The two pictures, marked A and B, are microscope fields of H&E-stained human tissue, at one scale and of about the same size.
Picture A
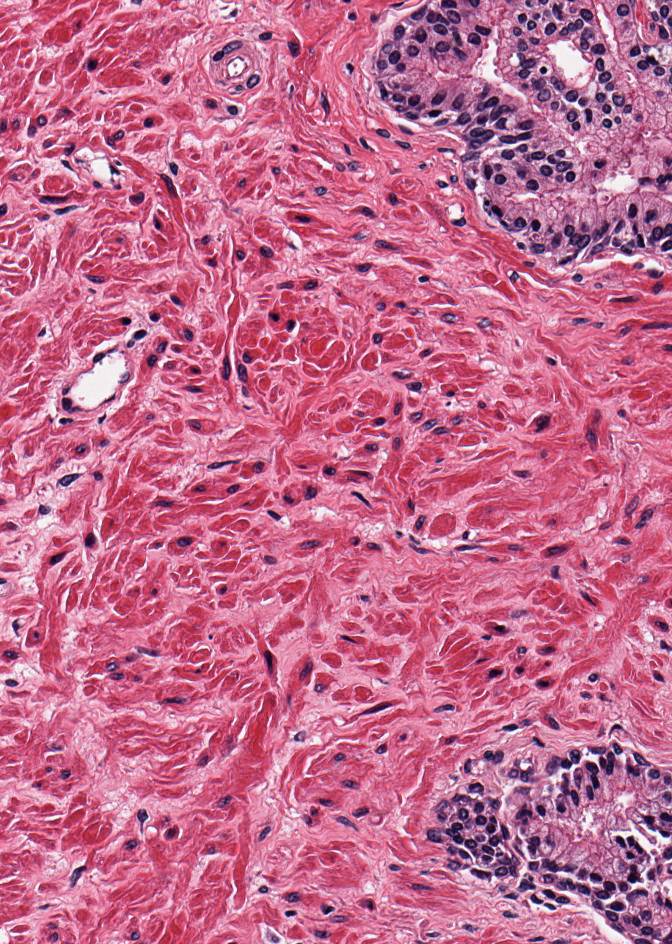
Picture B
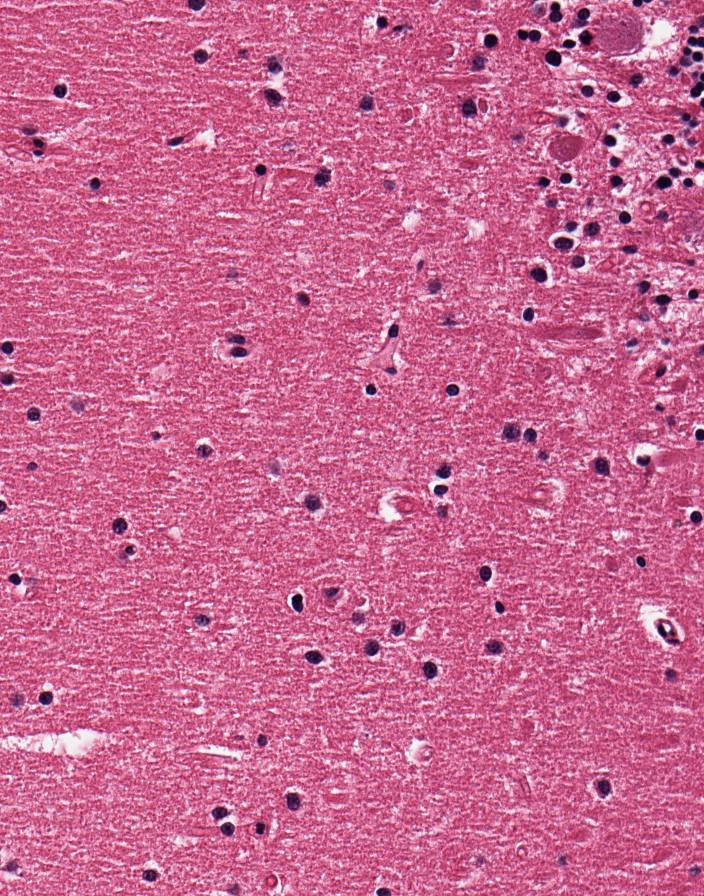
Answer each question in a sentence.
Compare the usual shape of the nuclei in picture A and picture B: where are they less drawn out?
It is picture B whose nuclei are the rounder.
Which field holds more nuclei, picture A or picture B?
It is picture A that has more nuclei in it.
